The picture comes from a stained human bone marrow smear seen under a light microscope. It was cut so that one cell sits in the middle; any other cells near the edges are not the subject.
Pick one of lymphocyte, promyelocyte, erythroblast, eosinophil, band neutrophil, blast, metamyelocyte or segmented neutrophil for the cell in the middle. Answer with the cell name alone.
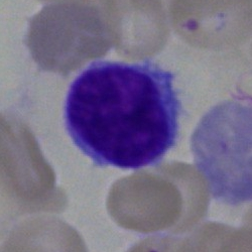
lymphocyte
